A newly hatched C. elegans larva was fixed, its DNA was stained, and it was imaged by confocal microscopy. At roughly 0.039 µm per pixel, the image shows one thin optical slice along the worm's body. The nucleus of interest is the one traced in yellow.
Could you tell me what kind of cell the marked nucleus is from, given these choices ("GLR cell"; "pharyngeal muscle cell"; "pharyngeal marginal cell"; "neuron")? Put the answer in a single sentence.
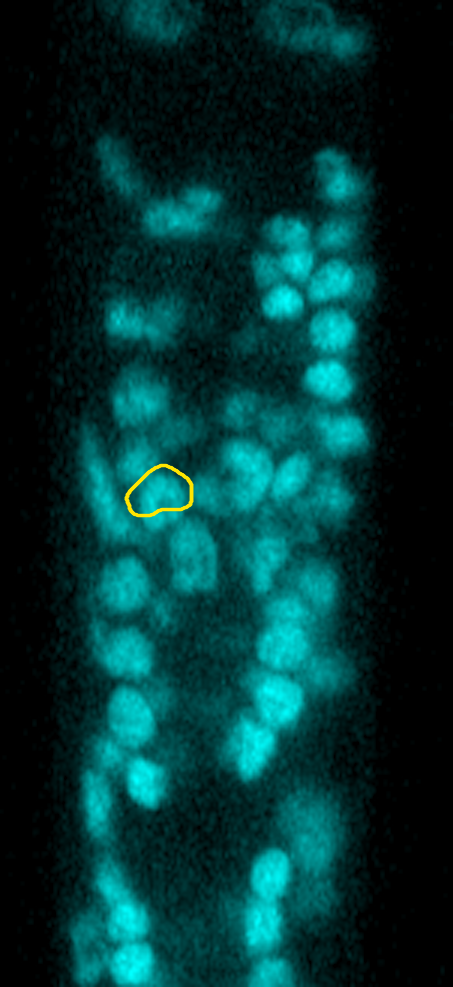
This nucleus is from a pharyngeal muscle cell.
